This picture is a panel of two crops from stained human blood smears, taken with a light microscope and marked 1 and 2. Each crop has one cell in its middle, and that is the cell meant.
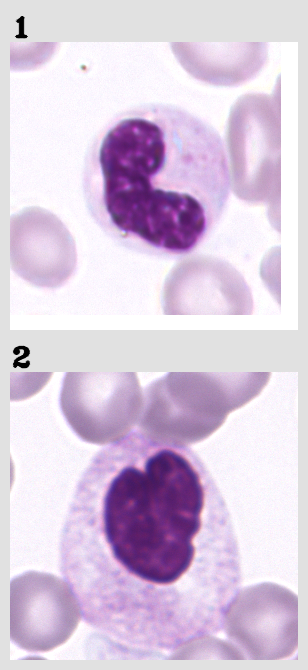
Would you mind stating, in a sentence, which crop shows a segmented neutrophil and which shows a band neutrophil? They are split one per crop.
Crops 1 and 2 are, respectively, a band neutrophil and a segmented neutrophil.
